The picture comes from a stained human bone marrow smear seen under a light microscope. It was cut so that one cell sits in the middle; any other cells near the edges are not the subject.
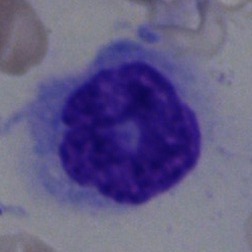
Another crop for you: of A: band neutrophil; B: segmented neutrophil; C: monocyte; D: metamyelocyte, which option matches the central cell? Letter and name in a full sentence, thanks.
It is a monocyte that occupies the centre of the crop, so option C is correct.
